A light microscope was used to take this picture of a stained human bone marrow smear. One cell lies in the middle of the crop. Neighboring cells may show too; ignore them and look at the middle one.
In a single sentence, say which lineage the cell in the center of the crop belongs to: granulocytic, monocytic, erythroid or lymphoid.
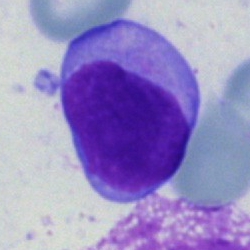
The cell in the crop's center is a cell of the lymphoid lineage.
